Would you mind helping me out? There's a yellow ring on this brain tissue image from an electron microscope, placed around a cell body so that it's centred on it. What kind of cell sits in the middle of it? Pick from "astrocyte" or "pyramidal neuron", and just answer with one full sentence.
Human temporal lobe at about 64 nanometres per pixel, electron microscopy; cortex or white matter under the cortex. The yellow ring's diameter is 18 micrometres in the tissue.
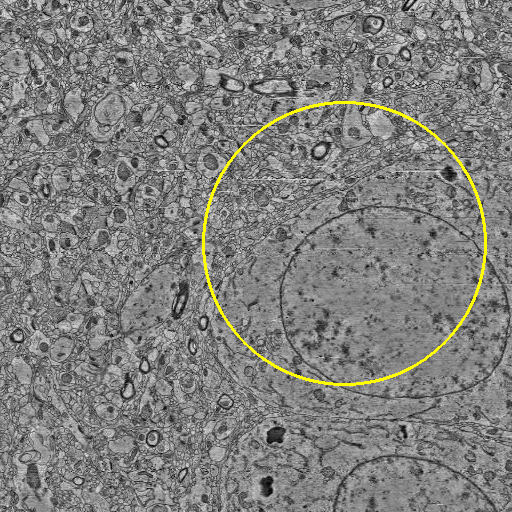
What sits in the middle of that yellow ring is a pyramidal neuron, from your choices.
